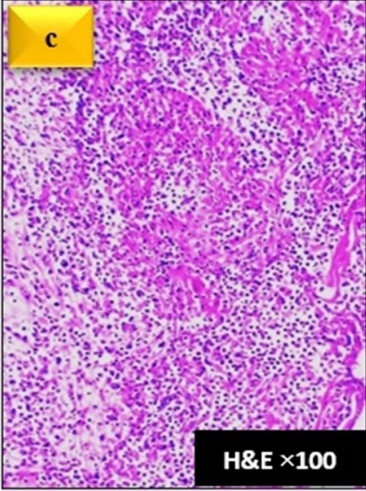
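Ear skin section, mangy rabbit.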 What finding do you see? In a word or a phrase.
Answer: Diffuse heavy dermal inflammatory infiltration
